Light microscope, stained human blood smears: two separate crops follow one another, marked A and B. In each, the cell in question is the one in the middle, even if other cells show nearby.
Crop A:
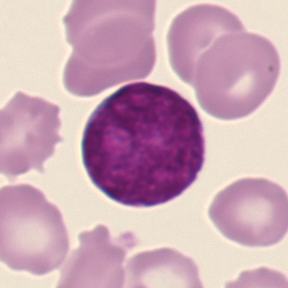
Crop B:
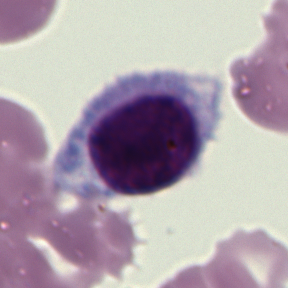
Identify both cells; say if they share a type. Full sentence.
No, it is a myeloblast that crop A shows, and a hairy cell that crop B shows.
